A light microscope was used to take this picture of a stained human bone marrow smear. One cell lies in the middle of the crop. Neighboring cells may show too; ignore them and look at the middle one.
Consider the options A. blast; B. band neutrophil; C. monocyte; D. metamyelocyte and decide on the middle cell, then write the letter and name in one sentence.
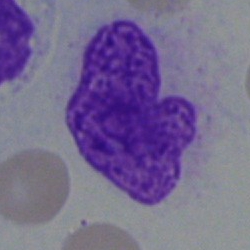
The cell placed in the middle is a monocyte; option C is correct.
